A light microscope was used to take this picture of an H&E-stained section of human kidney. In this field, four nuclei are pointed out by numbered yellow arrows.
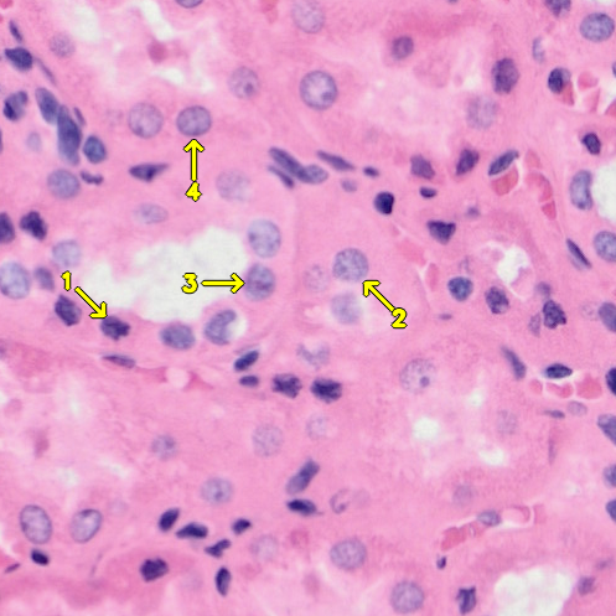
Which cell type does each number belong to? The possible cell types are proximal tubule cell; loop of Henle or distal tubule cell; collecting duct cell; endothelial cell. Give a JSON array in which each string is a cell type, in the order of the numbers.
["loop of Henle or distal tubule cell", "loop of Henle or distal tubule cell", "loop of Henle or distal tubule cell", "proximal tubule cell"]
